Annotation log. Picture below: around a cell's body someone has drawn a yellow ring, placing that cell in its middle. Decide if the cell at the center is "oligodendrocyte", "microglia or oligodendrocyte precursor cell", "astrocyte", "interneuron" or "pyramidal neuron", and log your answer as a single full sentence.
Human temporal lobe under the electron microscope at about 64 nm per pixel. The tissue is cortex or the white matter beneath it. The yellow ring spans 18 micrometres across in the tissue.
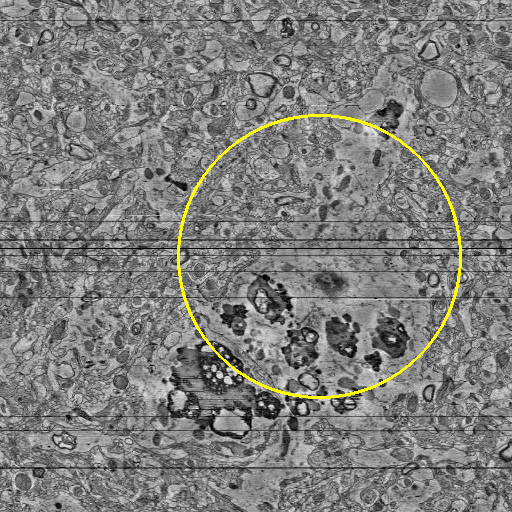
My entry records an astrocyte as the cell sitting at the center of the yellow ring.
